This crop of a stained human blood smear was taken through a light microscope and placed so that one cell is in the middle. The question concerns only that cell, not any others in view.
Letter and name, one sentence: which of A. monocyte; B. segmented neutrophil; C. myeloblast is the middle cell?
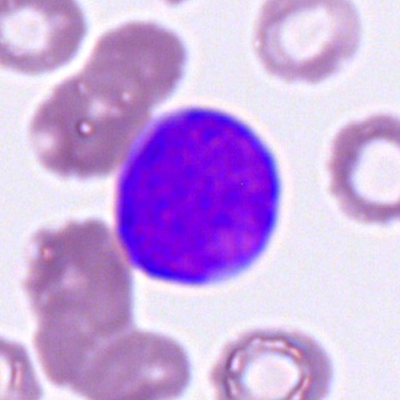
Option C stands as correct, the central cell being a myeloblast.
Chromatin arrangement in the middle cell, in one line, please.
Answer: the chromatin in this nucleus is coarsely clumped.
